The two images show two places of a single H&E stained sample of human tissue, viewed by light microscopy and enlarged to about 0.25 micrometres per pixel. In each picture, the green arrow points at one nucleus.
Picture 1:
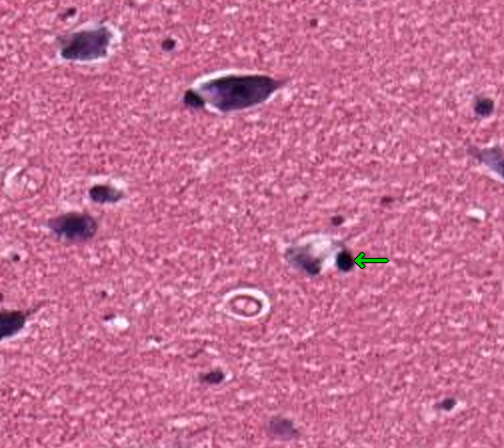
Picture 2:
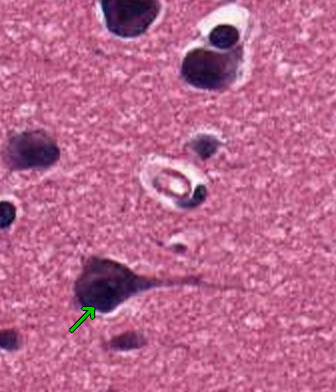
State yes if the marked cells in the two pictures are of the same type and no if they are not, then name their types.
No, the first is an oligodendrocyte and the second a neuron.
